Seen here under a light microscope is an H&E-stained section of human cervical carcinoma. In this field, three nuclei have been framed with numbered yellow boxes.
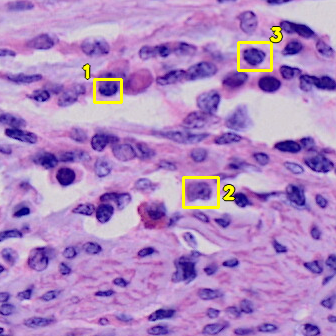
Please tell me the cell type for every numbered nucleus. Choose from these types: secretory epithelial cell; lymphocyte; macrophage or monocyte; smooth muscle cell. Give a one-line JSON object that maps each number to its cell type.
{"1": "lymphocyte", "2": "macrophage or monocyte", "3": "lymphocyte"}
